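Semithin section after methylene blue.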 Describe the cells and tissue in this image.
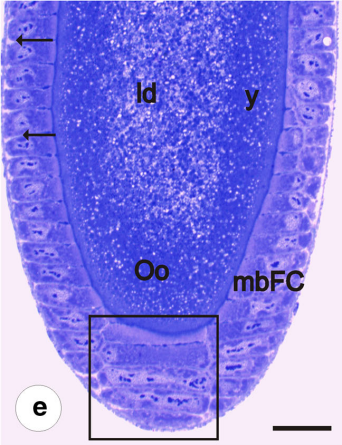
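This is a section through an egg chamber with a large oocyte surrounded by a single layer of follicular cells, all stained blue. The oocyte is packed with pale droplets and darker granules of yolk. The follicular epithelium is made of cuboidal to columnar cells with rounded nuclei, and narrow clear spaces open between neighbouring cells.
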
